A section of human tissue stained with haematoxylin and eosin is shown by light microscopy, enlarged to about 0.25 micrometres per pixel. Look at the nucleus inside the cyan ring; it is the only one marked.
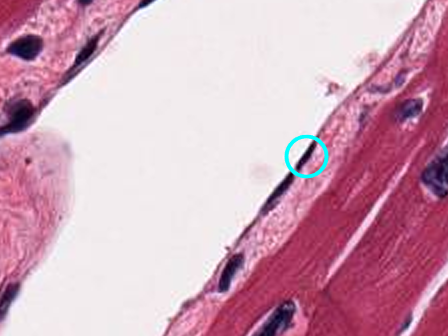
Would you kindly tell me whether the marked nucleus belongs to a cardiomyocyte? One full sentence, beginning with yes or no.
No, what carries the marked nucleus is a supporting cell rather than a cardiomyocyte.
